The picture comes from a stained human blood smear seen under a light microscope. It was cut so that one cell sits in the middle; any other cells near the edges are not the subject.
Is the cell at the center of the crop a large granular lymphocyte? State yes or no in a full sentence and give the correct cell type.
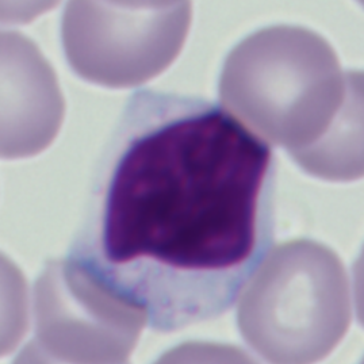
Yes, the cell that lies centrally is a large granular lymphocyte.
